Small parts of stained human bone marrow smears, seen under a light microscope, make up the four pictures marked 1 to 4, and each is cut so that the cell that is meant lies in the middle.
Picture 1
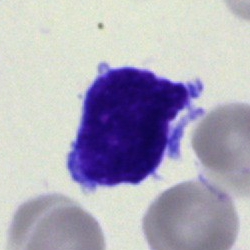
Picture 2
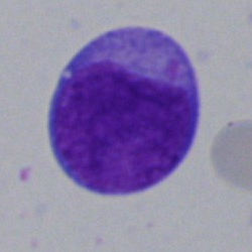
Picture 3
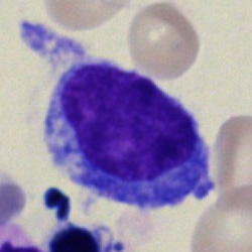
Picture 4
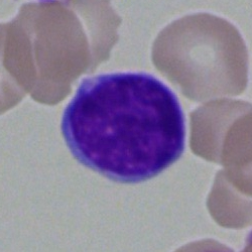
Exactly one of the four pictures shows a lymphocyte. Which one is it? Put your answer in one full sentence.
It is picture 4 that shows the lymphocyte.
